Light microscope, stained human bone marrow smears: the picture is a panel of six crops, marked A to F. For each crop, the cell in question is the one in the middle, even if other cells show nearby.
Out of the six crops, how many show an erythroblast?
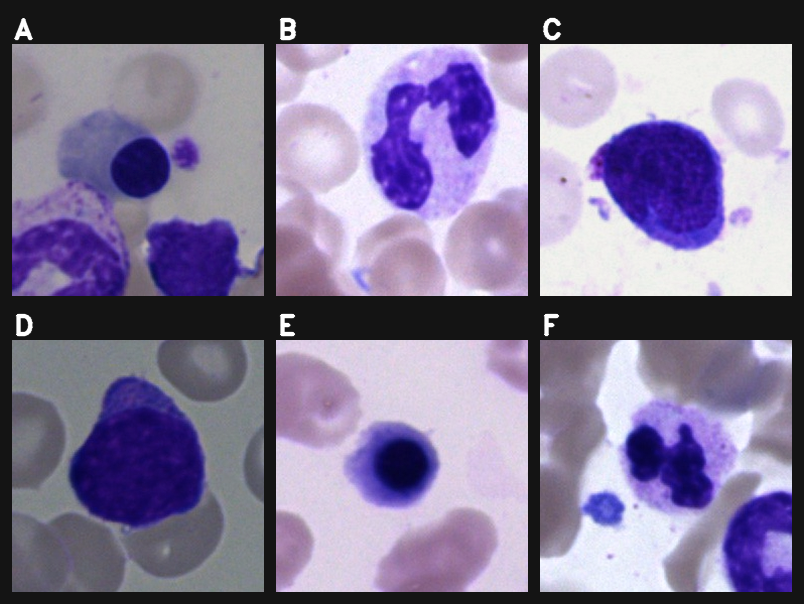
2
